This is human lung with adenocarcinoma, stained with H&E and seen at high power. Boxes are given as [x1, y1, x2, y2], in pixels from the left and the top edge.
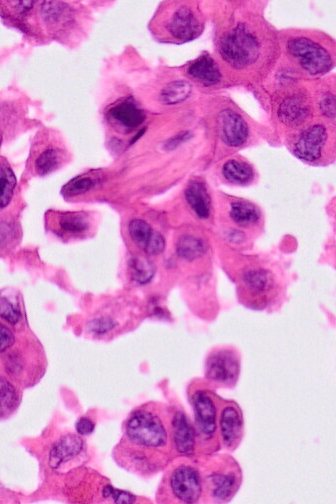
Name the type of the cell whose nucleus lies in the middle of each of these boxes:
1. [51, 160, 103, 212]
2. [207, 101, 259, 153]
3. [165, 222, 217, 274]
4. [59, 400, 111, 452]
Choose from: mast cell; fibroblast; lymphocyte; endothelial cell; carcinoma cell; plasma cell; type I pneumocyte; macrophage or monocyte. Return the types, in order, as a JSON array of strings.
["carcinoma cell", "carcinoma cell", "carcinoma cell", "lymphocyte"]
